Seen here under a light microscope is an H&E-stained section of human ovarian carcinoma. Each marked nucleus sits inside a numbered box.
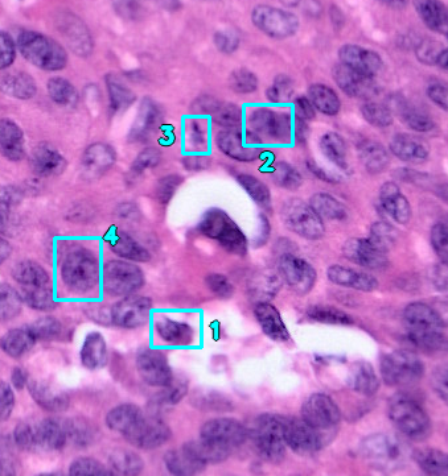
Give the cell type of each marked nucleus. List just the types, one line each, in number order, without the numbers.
macrophage or monocyte
carcinoma cell
carcinoma cell
carcinoma cell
